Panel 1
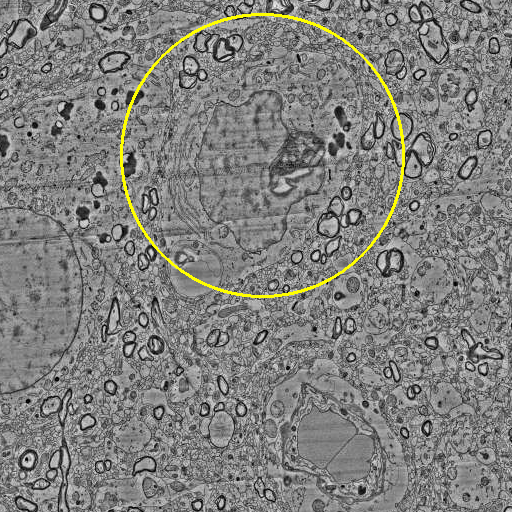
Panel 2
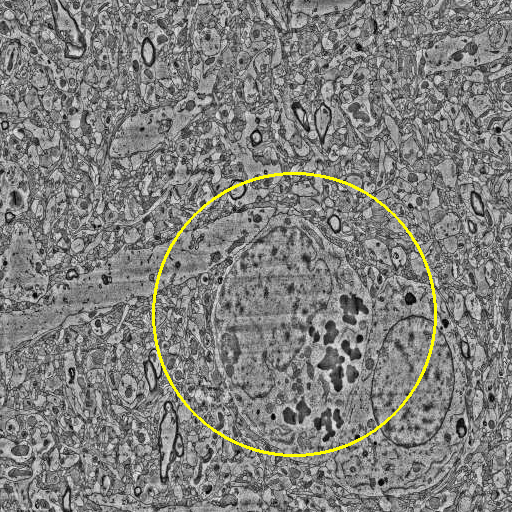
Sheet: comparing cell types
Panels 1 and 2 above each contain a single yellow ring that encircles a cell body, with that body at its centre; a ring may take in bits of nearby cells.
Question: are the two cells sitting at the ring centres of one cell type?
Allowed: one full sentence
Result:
Yes, the ring-centre cells in Panel 1 and Panel 2 are of one type.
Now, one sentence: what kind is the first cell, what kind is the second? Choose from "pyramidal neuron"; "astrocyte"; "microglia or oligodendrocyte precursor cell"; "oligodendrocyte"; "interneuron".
In each picture the ringed cell is an interneuron.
